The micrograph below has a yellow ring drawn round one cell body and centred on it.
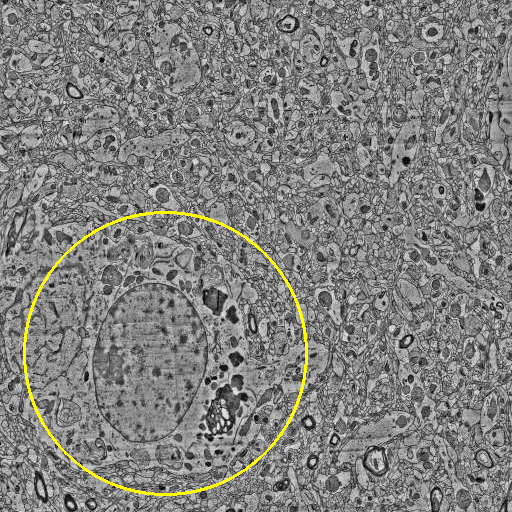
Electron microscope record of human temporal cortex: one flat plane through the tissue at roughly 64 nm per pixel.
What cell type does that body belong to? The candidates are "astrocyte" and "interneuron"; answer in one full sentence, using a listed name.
This is an astrocyte, the cell whose body lies at the centre of the ring.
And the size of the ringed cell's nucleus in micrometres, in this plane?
In this plane the nucleus spans approximately 10 by 7 micrometers.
